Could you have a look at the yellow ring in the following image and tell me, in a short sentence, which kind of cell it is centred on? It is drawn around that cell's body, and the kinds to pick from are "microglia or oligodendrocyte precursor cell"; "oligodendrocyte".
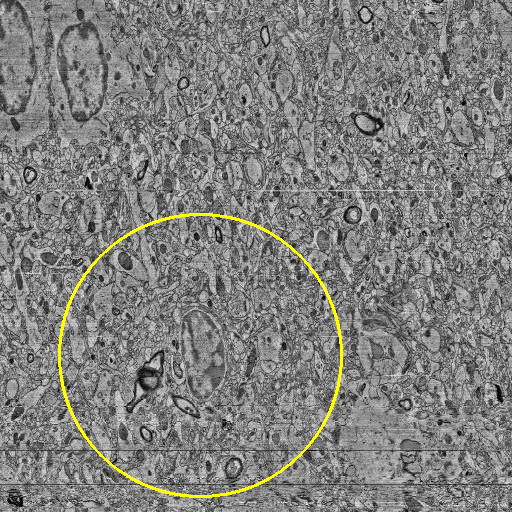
The ring is centred on the body of a microglial cell or oligodendrocyte precursor cell.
